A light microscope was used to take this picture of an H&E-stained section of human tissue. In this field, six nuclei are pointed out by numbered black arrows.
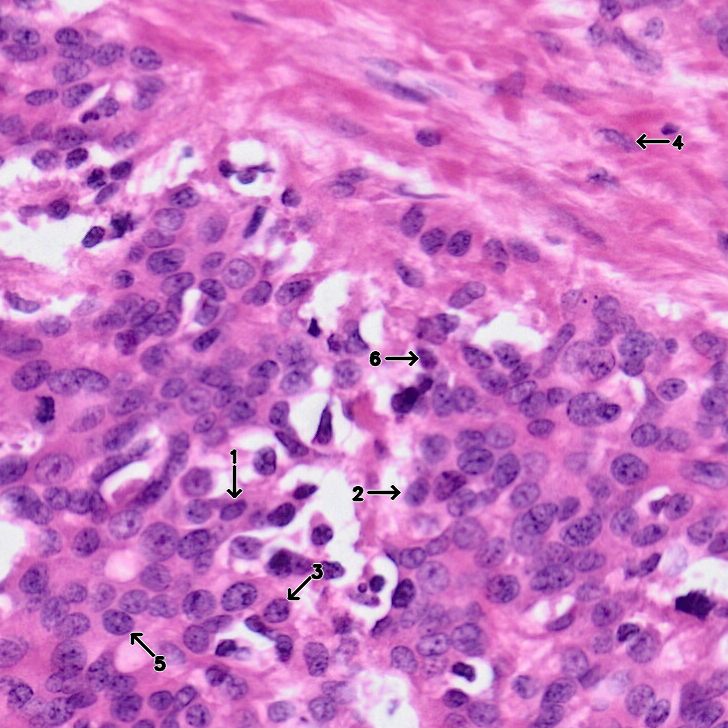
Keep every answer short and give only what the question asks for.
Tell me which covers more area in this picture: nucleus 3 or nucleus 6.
3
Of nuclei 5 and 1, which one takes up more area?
5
